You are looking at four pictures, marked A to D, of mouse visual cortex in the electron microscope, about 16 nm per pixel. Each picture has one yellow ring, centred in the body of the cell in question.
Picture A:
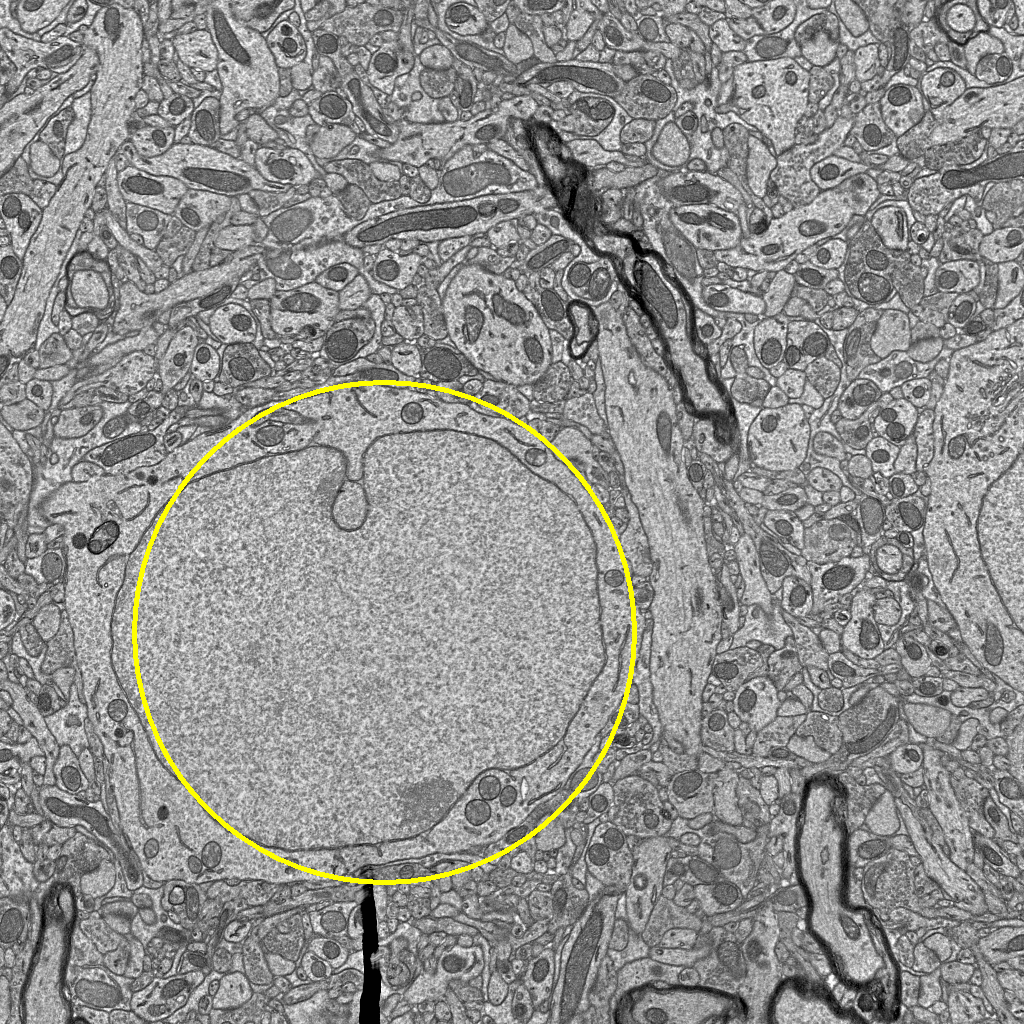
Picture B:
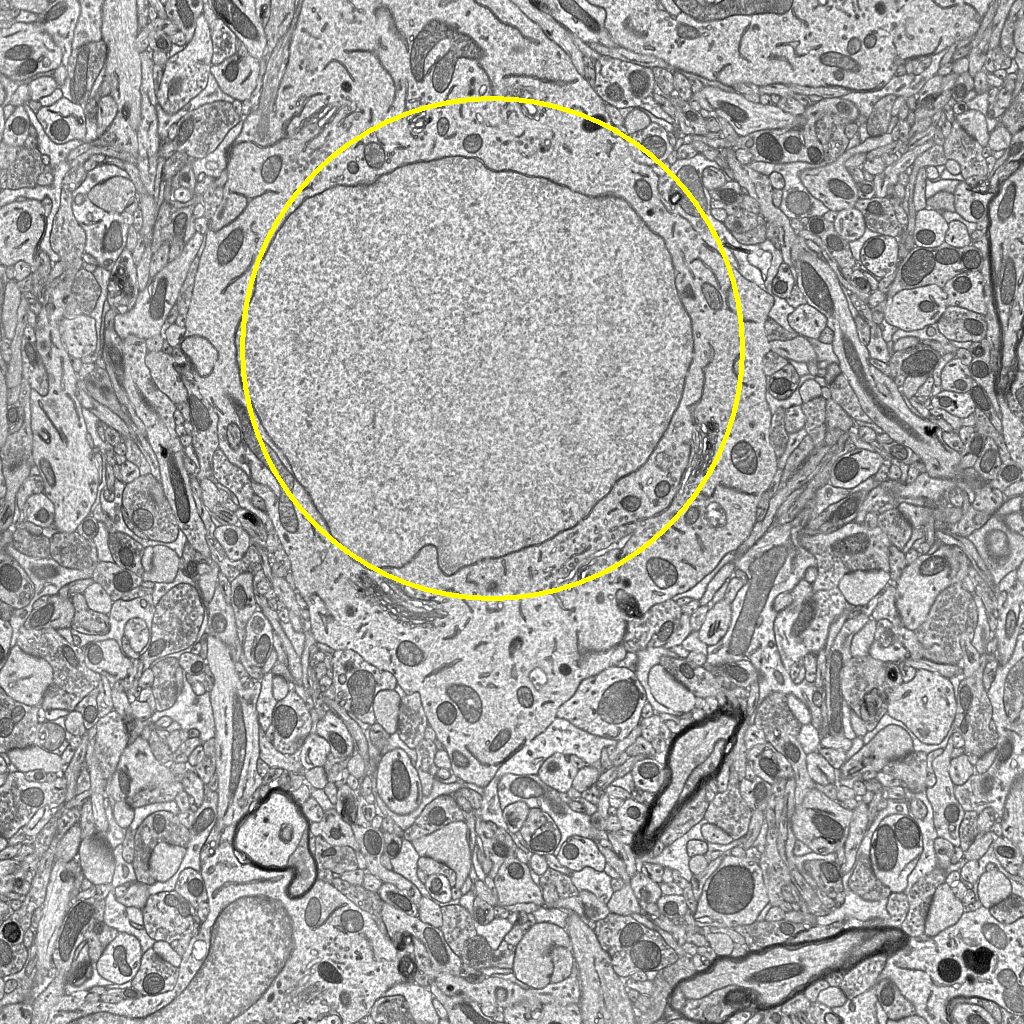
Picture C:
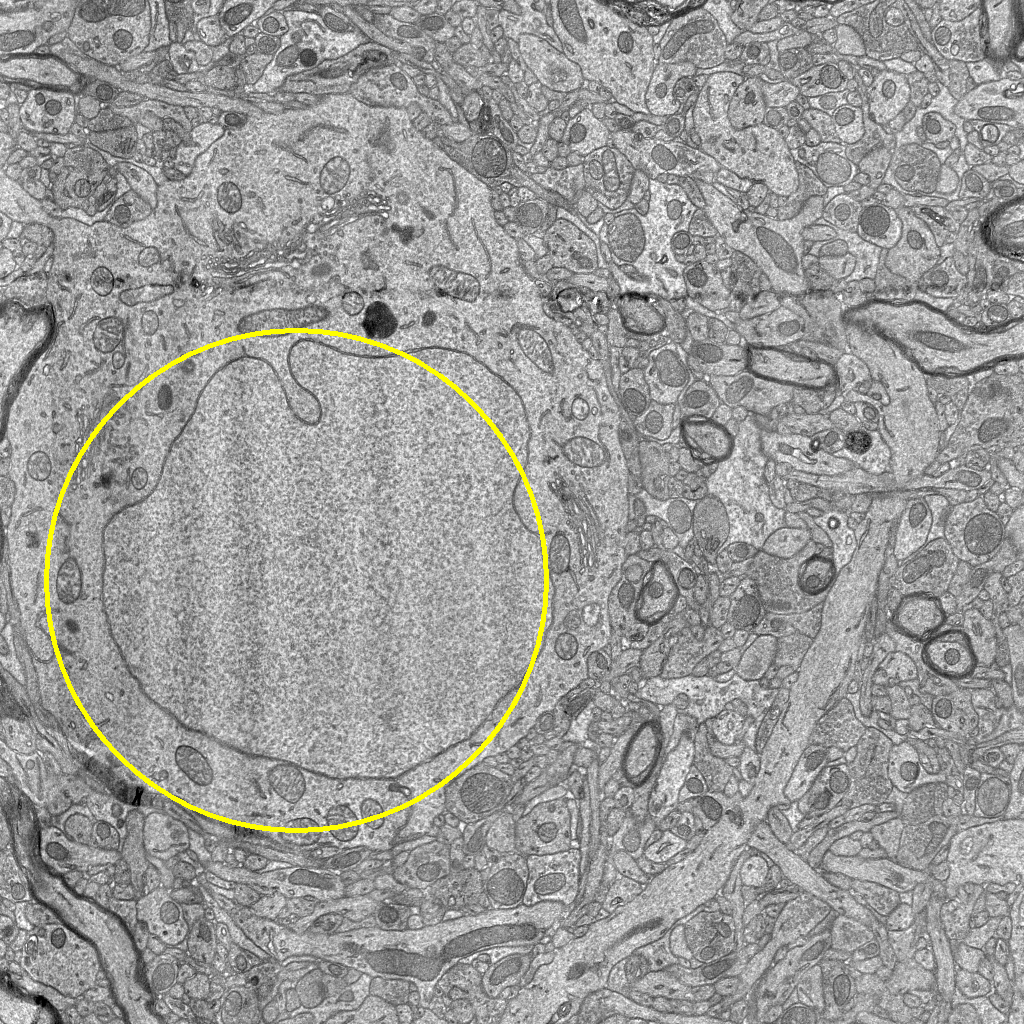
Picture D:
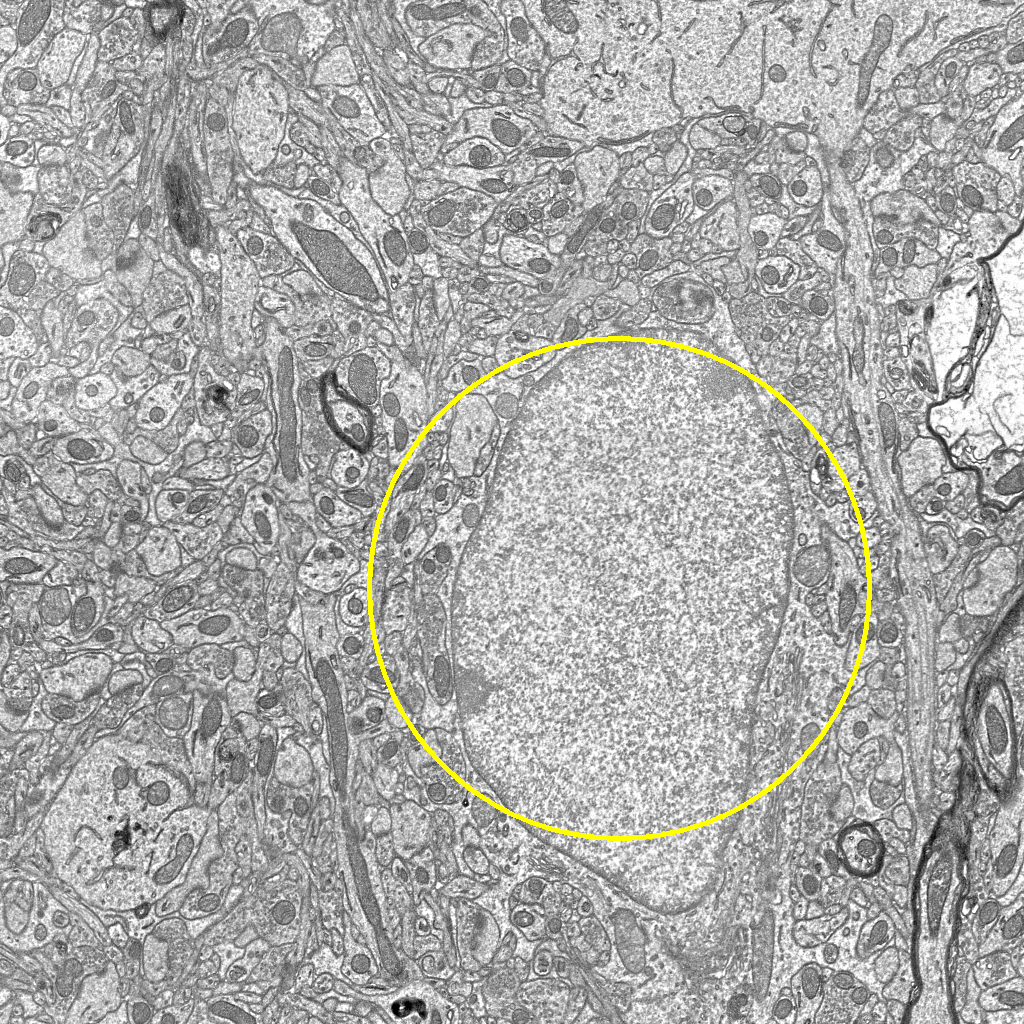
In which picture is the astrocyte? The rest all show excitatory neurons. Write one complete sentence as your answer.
The astrocyte is the one in picture D.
